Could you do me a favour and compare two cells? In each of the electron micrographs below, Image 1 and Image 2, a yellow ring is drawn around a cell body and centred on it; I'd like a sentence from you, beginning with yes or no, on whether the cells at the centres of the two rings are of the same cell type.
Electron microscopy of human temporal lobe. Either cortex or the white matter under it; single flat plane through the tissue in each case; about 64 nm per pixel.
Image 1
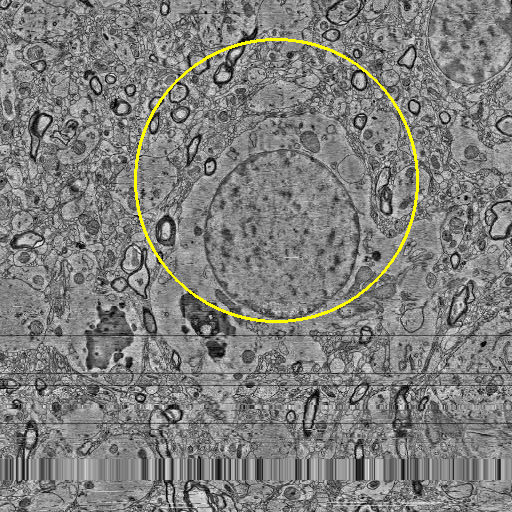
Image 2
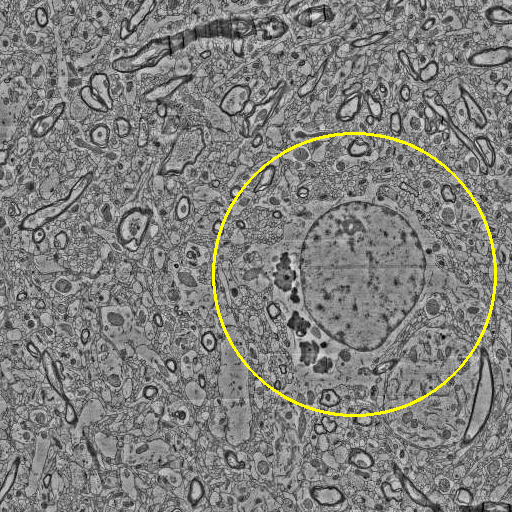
Yes, the two cells are of the same cell type.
